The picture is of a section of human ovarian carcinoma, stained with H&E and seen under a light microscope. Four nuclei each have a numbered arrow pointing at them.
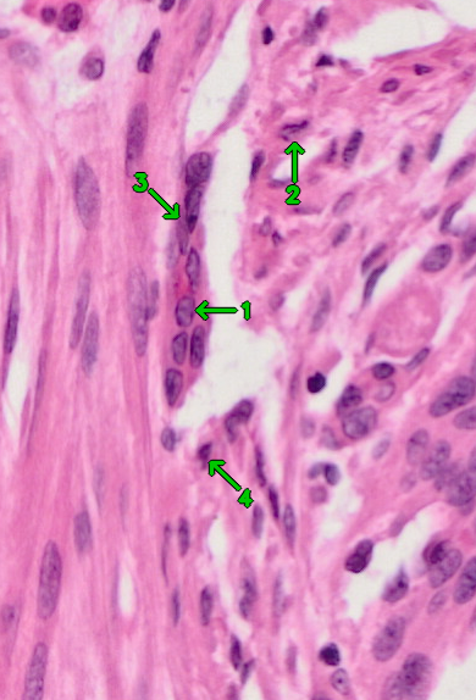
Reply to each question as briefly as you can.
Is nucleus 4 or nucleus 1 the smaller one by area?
4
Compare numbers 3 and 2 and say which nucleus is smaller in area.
2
